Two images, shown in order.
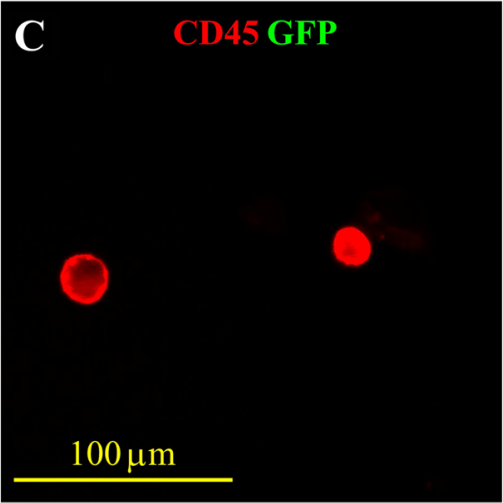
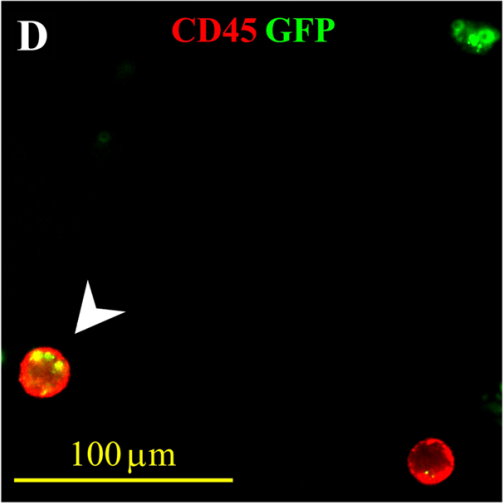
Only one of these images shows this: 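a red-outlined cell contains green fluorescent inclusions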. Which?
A: the second image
